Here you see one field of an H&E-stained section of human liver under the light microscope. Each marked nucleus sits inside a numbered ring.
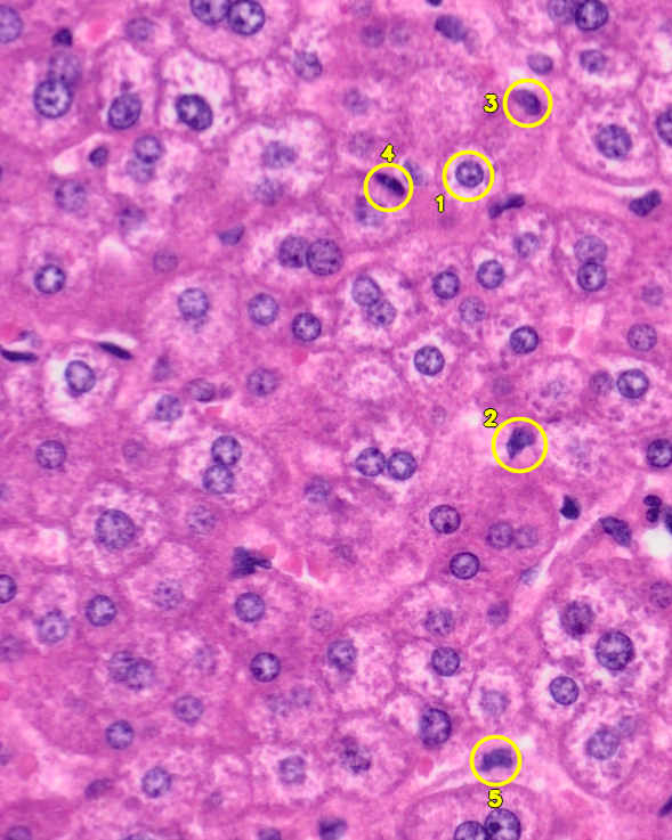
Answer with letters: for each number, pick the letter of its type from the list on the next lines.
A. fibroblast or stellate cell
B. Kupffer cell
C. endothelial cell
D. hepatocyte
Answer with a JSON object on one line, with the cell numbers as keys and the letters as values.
{"1": "D", "2": "C", "3": "A", "4": "A", "5": "B"}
